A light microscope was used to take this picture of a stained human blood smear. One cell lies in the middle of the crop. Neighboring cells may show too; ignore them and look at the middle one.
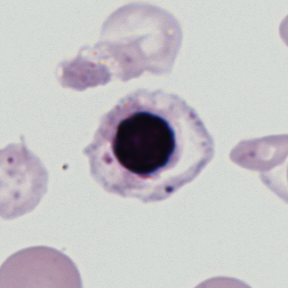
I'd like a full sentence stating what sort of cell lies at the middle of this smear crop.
The cell that lies at the centre of the crop is an erythroblast.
